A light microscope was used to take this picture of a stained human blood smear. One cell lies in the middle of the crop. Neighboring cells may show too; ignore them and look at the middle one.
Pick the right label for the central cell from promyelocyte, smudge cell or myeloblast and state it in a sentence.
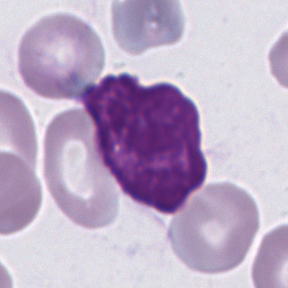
The crop's centre is taken up by a smudge cell.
